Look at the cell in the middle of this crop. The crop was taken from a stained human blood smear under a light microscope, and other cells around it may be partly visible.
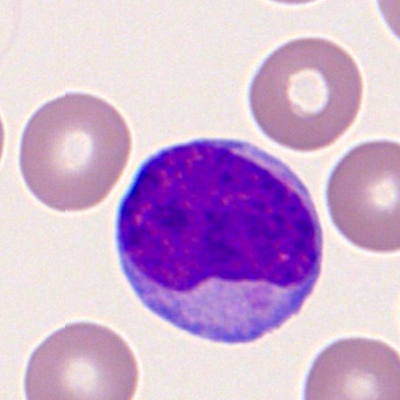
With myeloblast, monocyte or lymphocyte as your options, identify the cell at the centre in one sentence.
In the center of this field lies a myeloblast.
